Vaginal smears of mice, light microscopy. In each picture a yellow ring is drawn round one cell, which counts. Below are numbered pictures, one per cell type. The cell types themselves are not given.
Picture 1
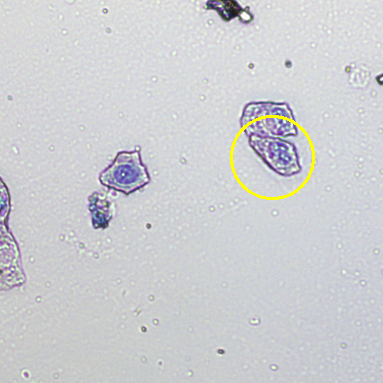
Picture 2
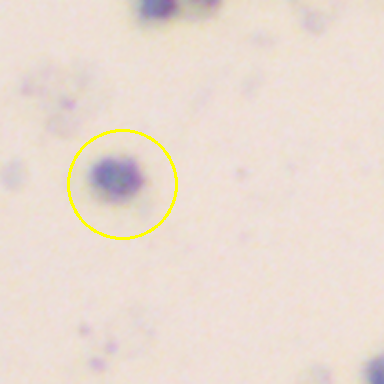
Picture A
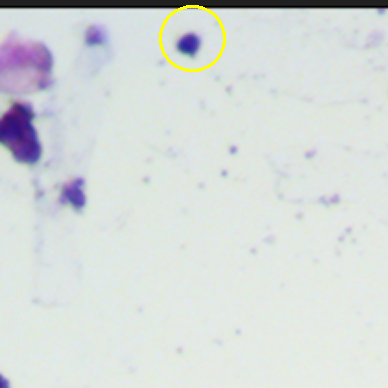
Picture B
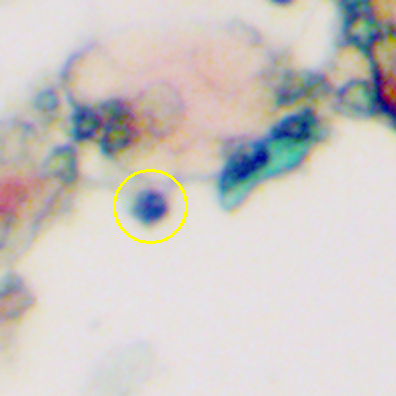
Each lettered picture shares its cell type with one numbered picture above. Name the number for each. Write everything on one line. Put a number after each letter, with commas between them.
A 2, B 2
